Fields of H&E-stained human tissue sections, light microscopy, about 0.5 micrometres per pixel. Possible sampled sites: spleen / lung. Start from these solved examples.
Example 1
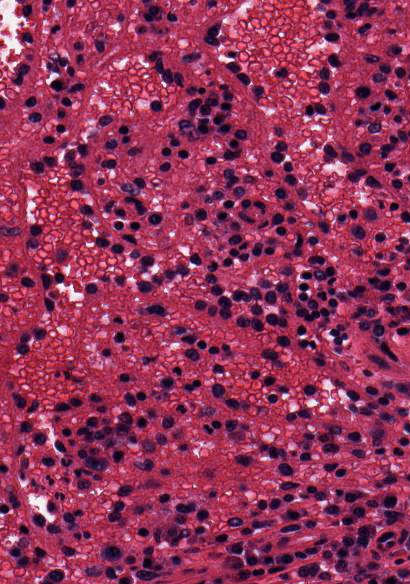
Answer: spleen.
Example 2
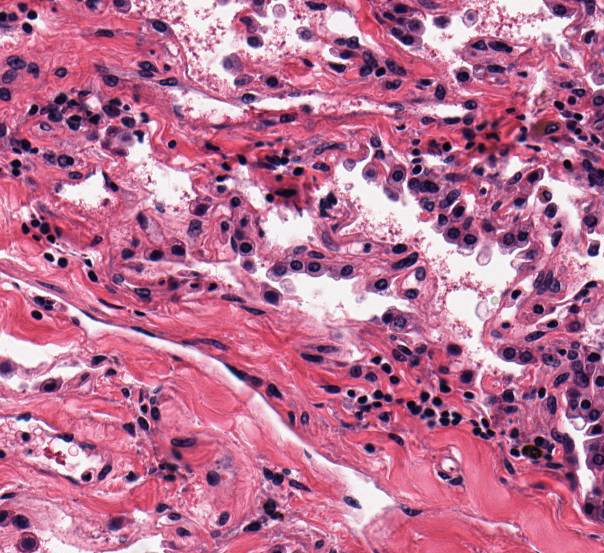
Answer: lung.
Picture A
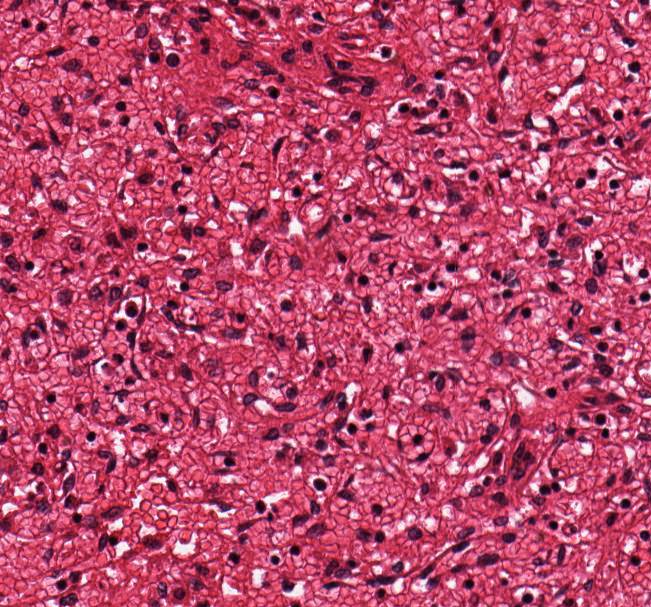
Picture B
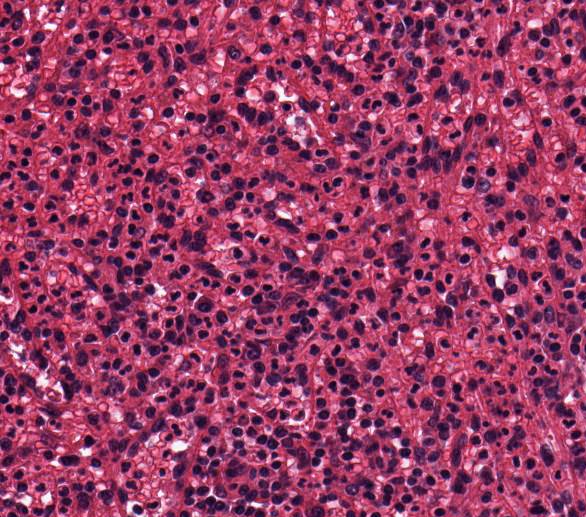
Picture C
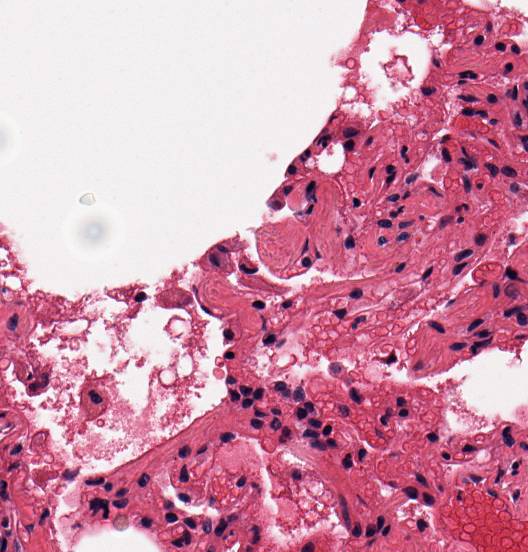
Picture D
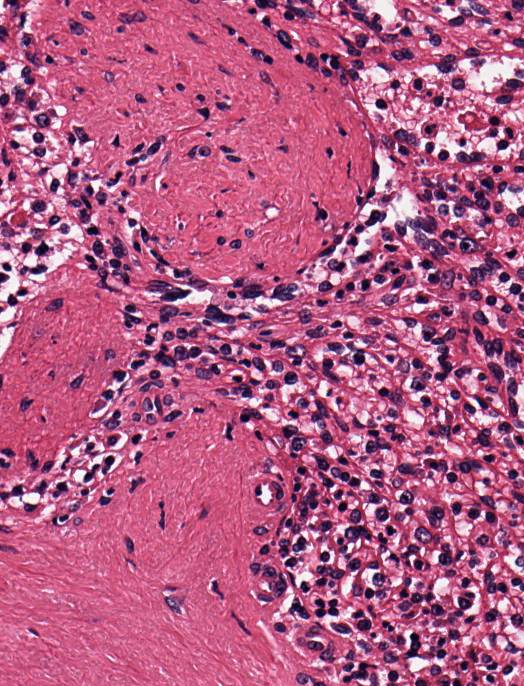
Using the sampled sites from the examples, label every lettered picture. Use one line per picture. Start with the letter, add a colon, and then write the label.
A: spleen.
B: spleen.
C: lung.
D: spleen.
